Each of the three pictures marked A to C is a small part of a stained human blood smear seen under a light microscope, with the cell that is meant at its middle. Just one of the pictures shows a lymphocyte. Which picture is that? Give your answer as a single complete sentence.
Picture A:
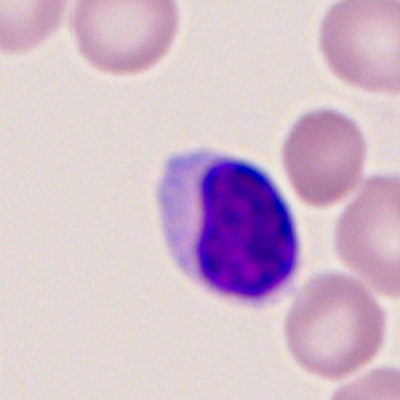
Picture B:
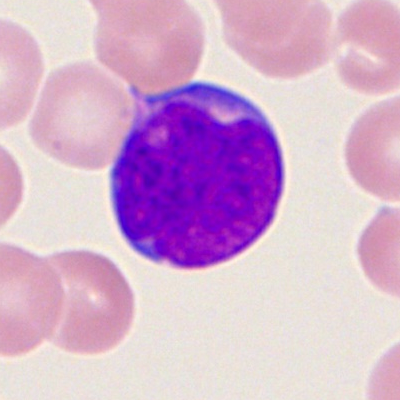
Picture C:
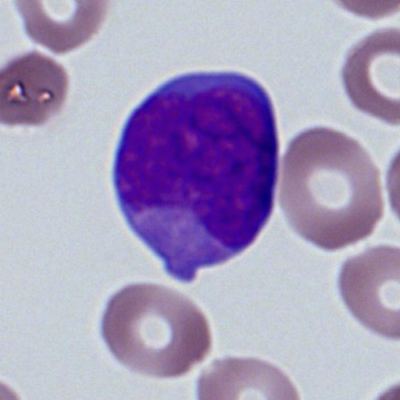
The picture with the lymphocyte is A.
